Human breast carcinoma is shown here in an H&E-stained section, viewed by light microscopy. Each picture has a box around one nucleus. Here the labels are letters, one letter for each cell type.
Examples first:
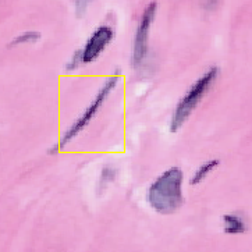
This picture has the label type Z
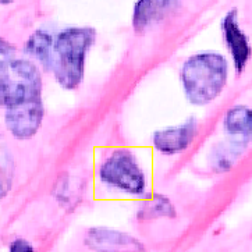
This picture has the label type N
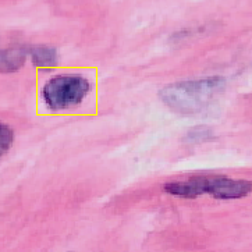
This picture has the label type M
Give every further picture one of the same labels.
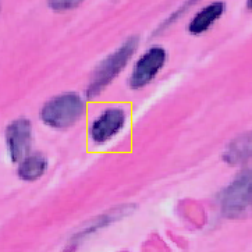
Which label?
type M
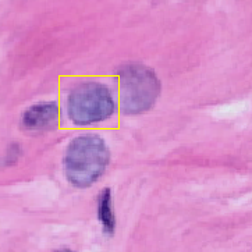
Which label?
type N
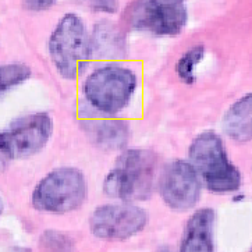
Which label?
type N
